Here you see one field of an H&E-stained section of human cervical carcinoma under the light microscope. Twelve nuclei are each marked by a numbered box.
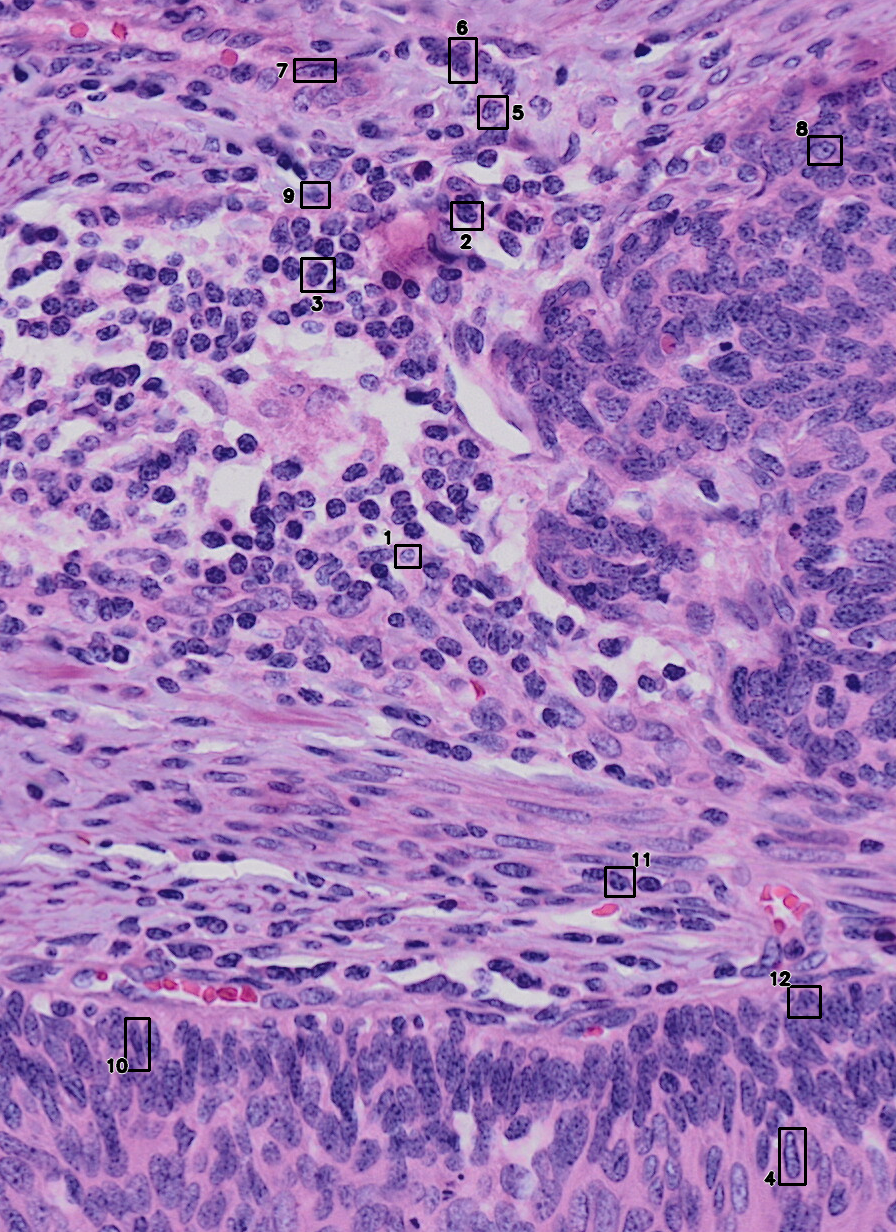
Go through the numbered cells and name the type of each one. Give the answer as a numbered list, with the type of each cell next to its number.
1. lymphocyte
2. lymphocyte
3. lymphocyte
4. squamous carcinoma cell
5. lymphocyte
6. lymphocyte
7. endothelial cell
8. squamous carcinoma cell
9. lymphocyte
10. squamous carcinoma cell
11. lymphocyte
12. squamous carcinoma cell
